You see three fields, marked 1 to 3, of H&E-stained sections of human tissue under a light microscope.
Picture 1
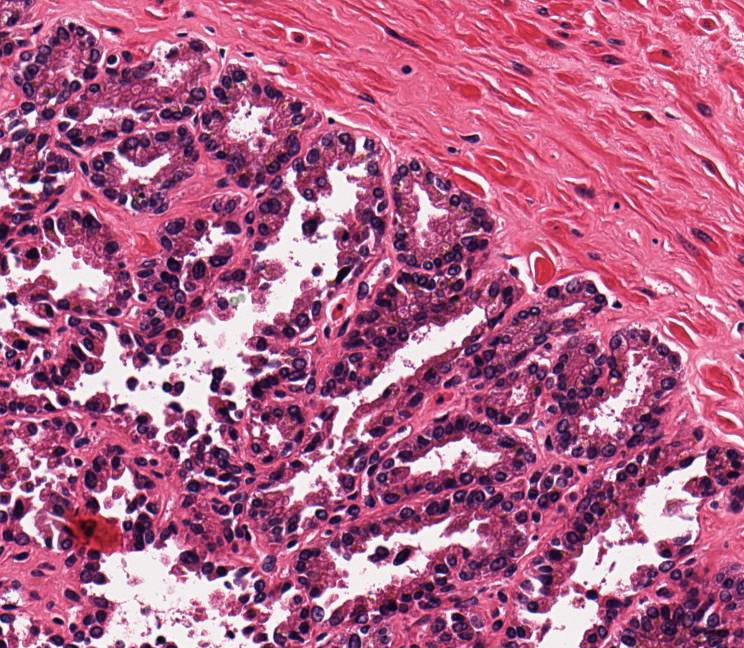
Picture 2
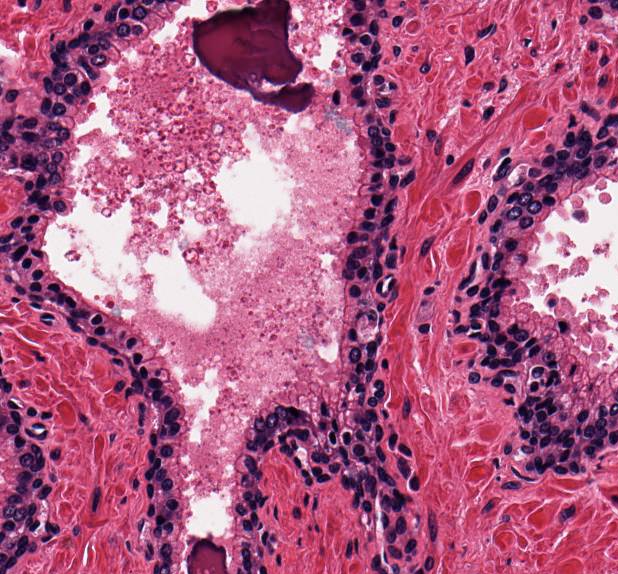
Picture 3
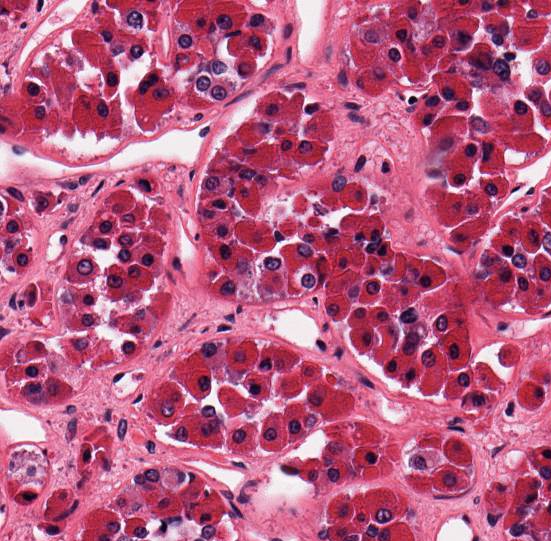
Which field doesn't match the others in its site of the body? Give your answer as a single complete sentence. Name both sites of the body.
Picture 3 is the odd one out: it comes from the pituitary, while the others come from the prostate.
